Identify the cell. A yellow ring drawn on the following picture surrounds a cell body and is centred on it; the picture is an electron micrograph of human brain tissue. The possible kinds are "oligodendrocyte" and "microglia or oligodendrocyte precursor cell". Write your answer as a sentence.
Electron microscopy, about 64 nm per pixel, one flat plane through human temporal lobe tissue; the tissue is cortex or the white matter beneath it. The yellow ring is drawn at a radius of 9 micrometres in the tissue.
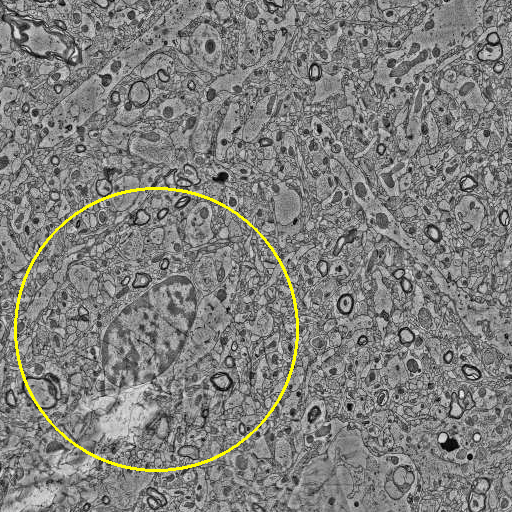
The cell identified by the ring is a microglial cell or oligodendrocyte precursor cell.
